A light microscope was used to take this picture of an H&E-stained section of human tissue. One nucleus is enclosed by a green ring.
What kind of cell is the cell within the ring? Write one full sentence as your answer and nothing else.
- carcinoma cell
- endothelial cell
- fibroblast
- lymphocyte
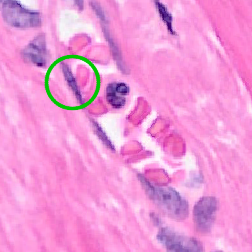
It is an endothelial cell that the cell within the ring represents.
